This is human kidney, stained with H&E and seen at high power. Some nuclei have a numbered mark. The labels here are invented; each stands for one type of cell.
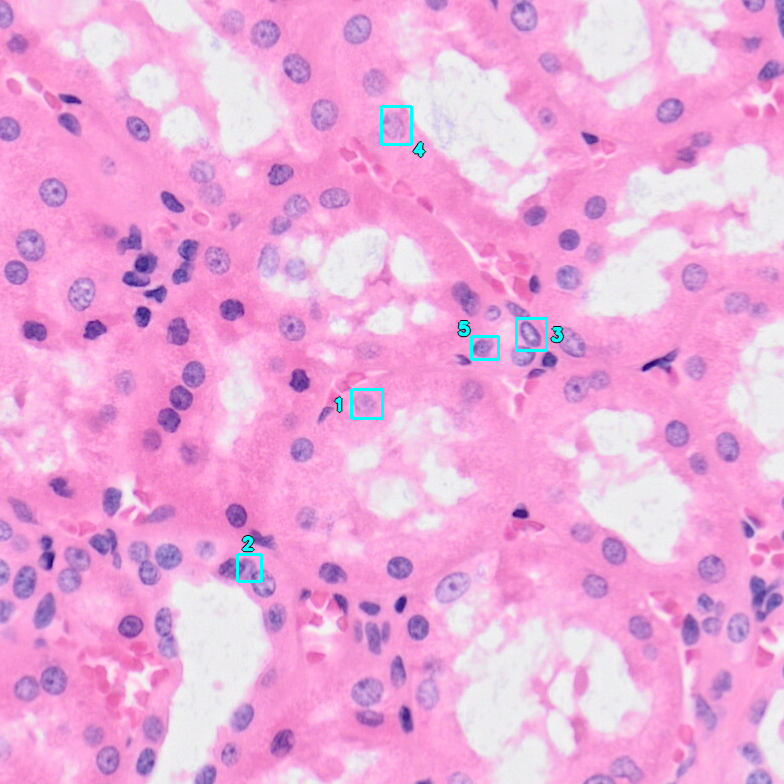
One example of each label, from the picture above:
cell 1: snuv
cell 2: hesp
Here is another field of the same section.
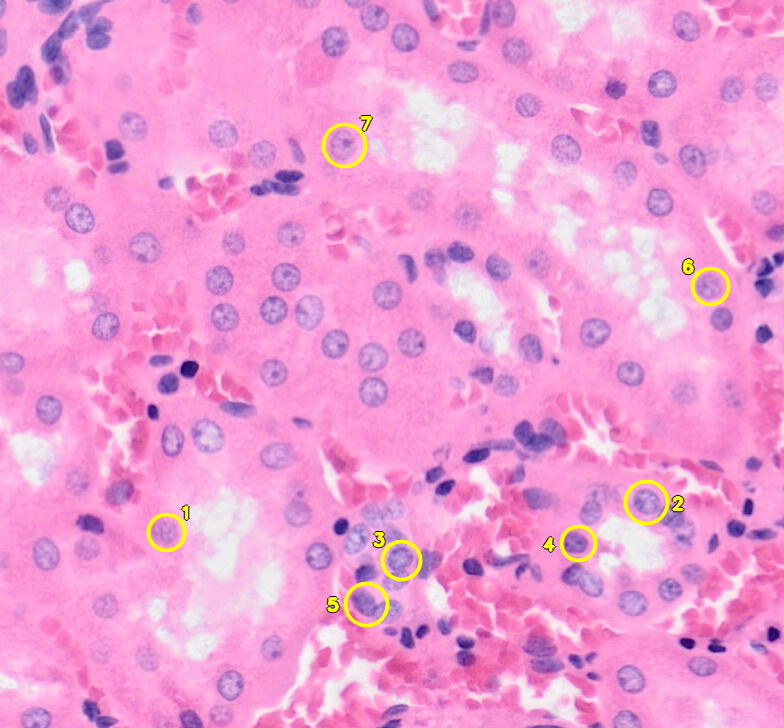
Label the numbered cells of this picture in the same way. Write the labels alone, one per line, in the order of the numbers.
snuv
hesp
hesp
hesp
hesp
snuv
snuv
